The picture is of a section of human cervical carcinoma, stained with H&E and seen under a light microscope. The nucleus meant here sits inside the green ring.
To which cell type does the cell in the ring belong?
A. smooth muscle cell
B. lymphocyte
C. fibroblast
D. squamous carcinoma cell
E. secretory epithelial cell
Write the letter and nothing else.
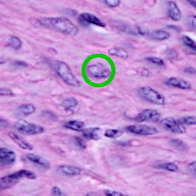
A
